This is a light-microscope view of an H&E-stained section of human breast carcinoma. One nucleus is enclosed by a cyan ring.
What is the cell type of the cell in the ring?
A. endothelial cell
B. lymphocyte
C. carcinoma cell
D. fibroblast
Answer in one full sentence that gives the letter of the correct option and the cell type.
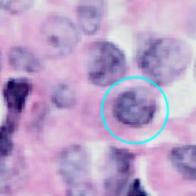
Since the cell in the ring is a carcinoma cell, the right option is C.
